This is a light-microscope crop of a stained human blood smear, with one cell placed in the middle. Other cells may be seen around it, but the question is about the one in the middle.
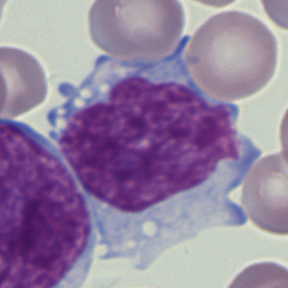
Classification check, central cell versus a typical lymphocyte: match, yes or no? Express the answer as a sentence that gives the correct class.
No, wrong label: the middle cell is a myeloblast instead of a typical lymphocyte.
